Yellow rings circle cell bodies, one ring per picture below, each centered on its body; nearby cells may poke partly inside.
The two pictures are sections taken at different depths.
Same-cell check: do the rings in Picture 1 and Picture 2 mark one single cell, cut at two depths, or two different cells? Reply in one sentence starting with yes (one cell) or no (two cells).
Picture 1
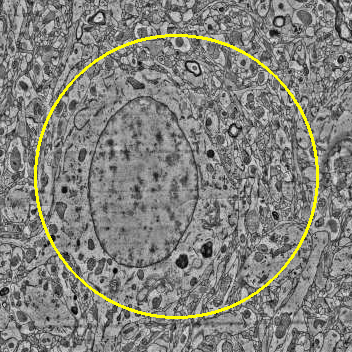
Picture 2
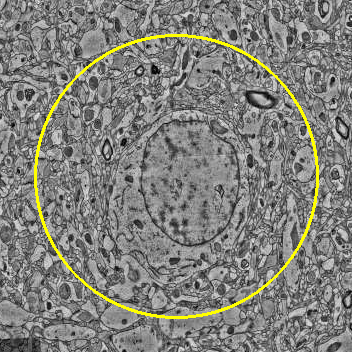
No, the ringed cells are two separate cells.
